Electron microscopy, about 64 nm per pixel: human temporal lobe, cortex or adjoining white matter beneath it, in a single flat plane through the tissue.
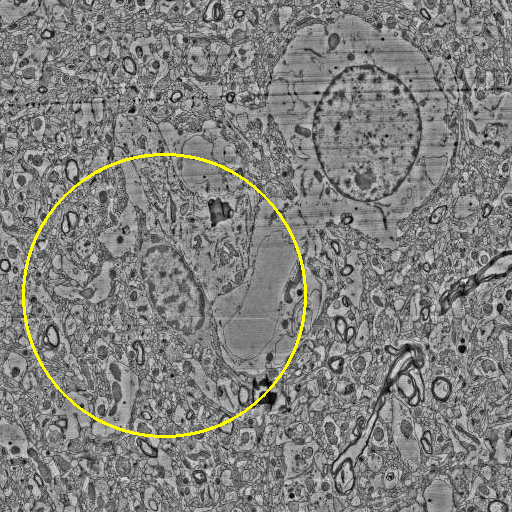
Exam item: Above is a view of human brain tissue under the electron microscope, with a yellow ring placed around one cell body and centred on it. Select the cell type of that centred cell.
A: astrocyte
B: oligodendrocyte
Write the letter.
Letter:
B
